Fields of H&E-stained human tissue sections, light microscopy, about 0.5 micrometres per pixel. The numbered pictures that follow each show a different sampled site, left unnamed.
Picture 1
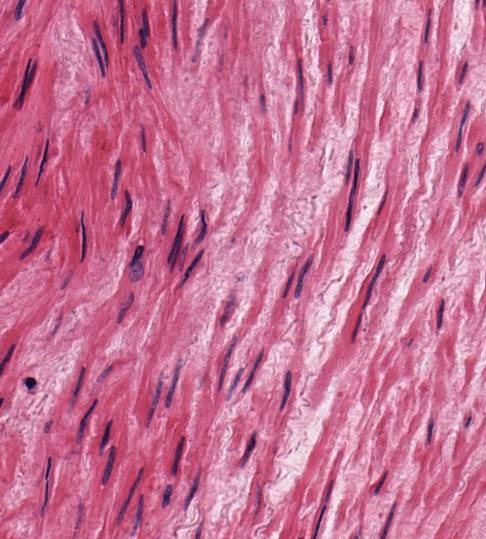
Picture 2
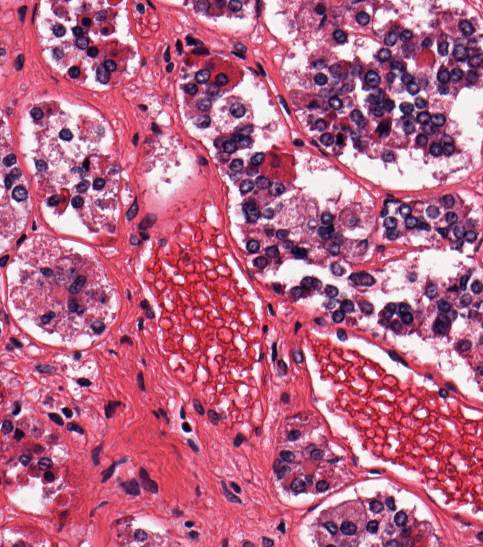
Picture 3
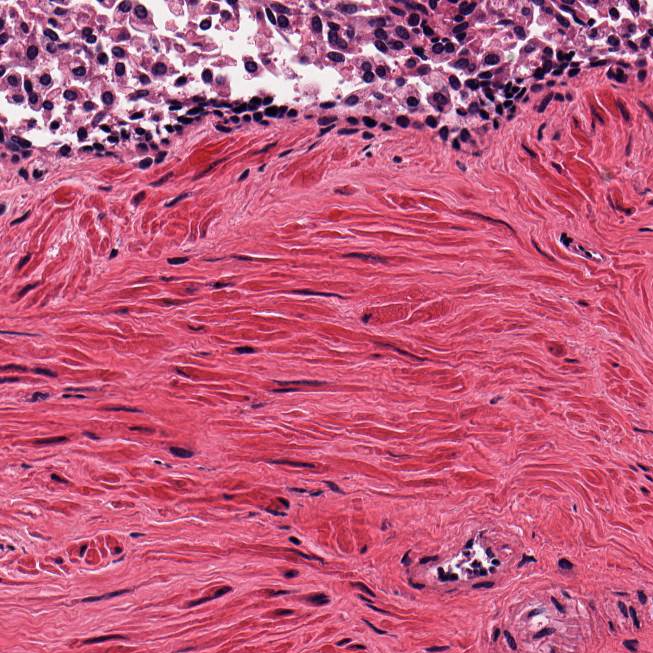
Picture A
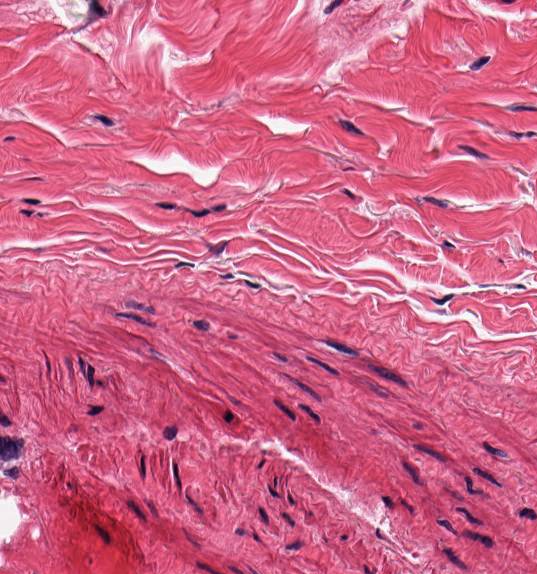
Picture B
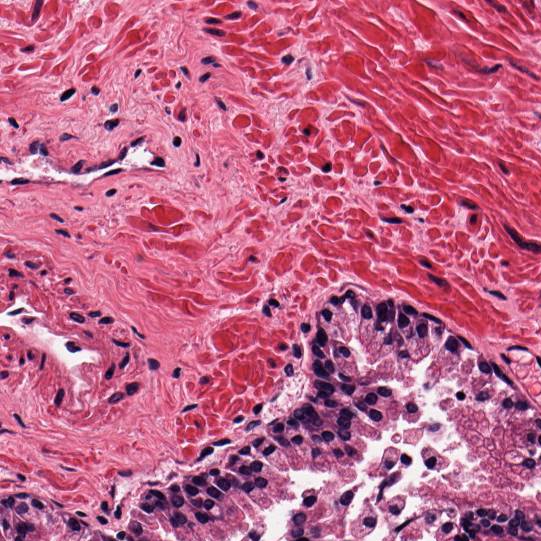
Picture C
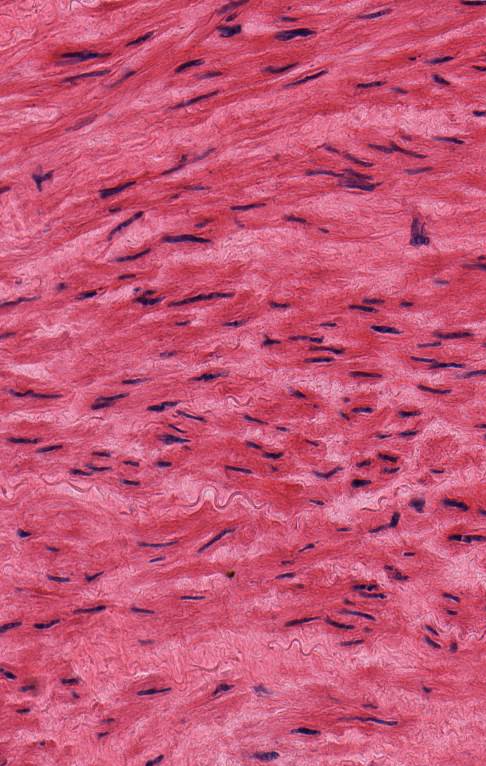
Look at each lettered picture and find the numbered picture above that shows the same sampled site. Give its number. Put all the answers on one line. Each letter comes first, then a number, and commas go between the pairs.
A 1, B 3, C 1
